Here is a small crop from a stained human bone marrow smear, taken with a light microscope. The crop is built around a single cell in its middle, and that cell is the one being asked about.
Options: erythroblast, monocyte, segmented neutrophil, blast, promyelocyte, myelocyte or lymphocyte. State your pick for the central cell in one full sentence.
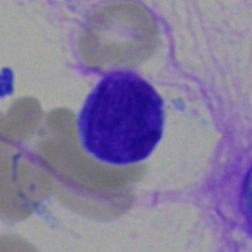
Here the cell in the middle is a lymphocyte.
